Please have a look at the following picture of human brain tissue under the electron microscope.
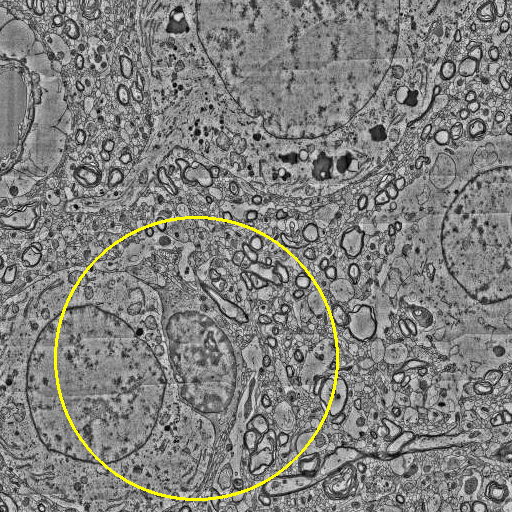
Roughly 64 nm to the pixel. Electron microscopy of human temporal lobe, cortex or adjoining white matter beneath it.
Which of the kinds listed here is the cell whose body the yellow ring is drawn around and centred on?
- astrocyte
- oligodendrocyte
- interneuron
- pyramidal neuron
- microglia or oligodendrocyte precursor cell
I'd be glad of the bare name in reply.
oligodendrocyte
